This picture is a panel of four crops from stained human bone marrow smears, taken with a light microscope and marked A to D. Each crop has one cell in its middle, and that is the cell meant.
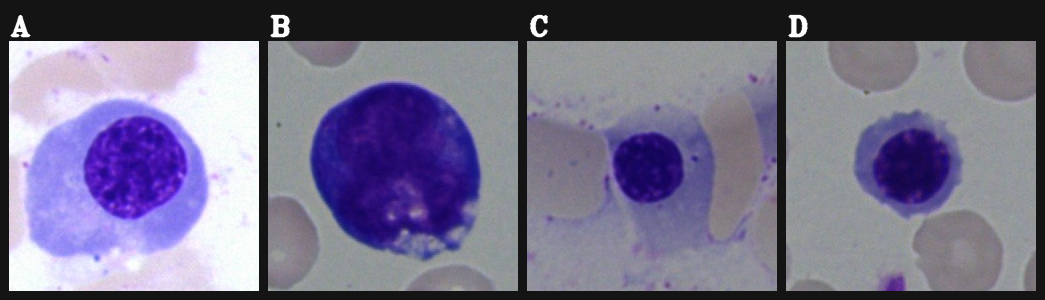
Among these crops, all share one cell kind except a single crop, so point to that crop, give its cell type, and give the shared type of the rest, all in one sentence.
The others are all erythroblasts; crop B is a blast.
